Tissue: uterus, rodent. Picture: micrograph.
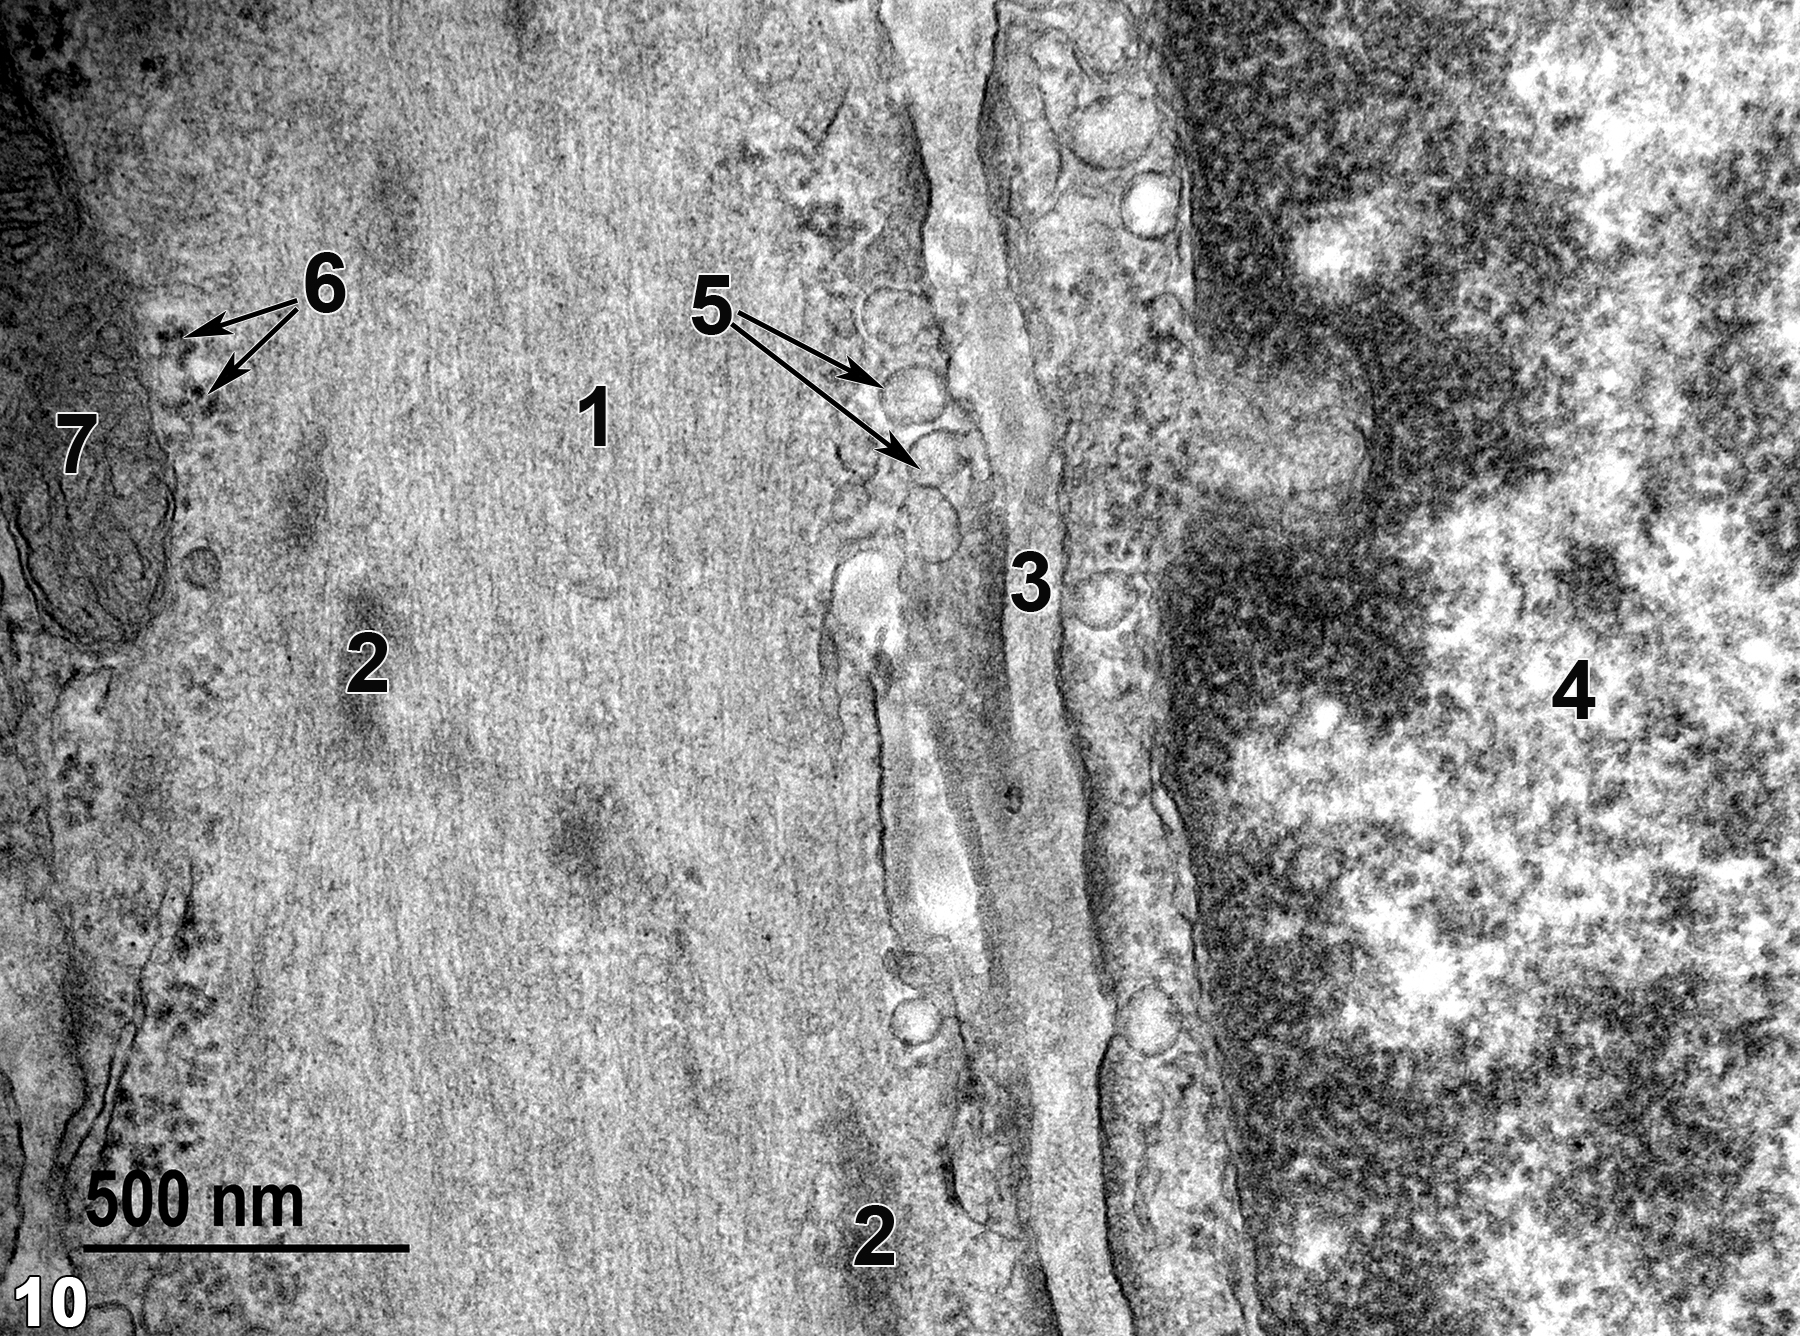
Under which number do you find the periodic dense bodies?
2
